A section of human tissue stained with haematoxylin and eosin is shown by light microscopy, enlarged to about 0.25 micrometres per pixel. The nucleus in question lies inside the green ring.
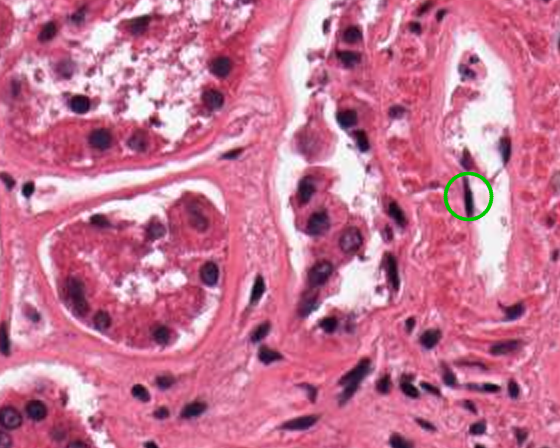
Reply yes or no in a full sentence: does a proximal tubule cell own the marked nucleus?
No, for the marked nucleus, the owning cell is a supporting cell, not a proximal tubule cell.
